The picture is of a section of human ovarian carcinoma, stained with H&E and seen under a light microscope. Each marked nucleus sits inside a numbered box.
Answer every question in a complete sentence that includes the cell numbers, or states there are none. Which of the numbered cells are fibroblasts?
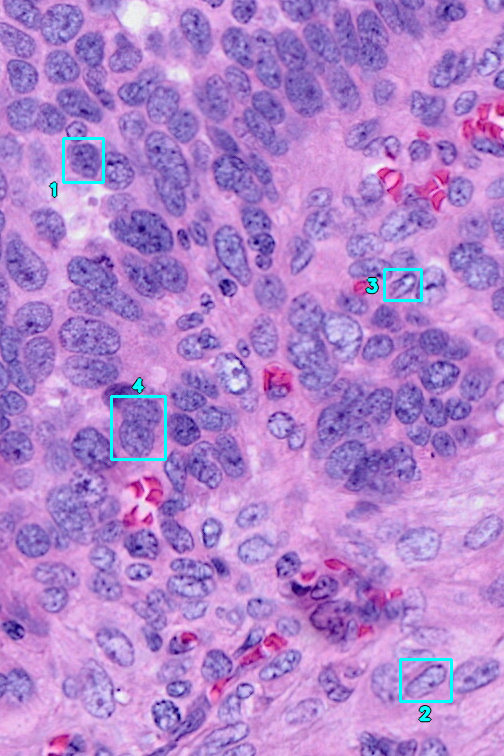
Identified as fibroblasts are the cells numbered 2 and 3.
